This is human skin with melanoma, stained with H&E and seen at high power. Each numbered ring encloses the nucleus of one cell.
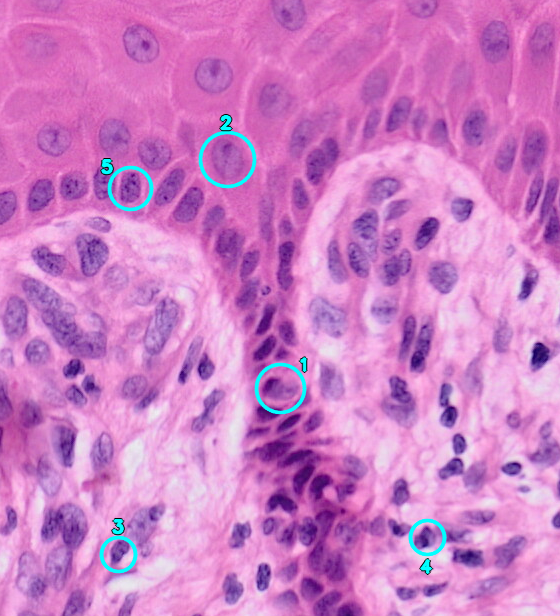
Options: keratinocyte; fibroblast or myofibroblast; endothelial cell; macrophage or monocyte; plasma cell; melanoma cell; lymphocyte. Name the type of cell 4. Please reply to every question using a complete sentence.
The cell pointed out by number 4 is a lymphocyte.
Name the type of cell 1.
Number 1 among the marked cells is a keratinocyte.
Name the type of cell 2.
What the number 2 marks in this field is a keratinocyte.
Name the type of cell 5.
The cell referred to as 5 is a keratinocyte.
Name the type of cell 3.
Number 3 among the marked cells is a lymphocyte.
